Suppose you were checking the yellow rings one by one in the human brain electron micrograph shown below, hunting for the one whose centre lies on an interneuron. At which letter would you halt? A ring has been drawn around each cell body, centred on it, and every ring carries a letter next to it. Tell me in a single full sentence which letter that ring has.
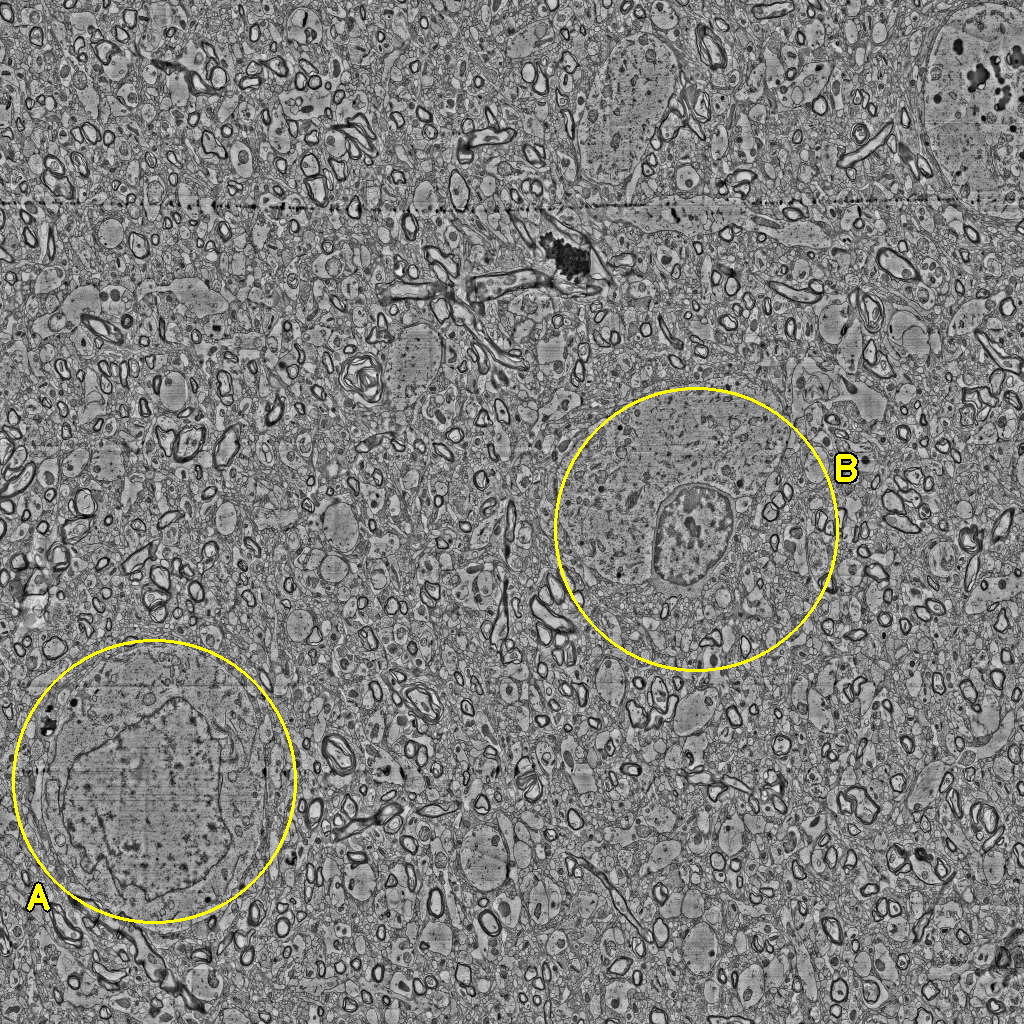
Going through the rings, I would stop at ring A, the one centred on the cell asked for.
